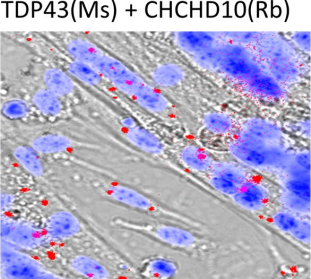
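This is a culture of elongated myotubes running diagonally across the field, seen in grey transmitted light with nuclei in blue and small red dots on top. The myotubes are long, smooth-edged tubes lying roughly parallel, with oval blue nuclei arranged in rows along their length. Small bright red dots are scattered over and around the nuclei and the cytoplasm, clustering densely in the upper right corner. Between the tubes lie grainier, irregular areas of smaller cells and debris.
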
